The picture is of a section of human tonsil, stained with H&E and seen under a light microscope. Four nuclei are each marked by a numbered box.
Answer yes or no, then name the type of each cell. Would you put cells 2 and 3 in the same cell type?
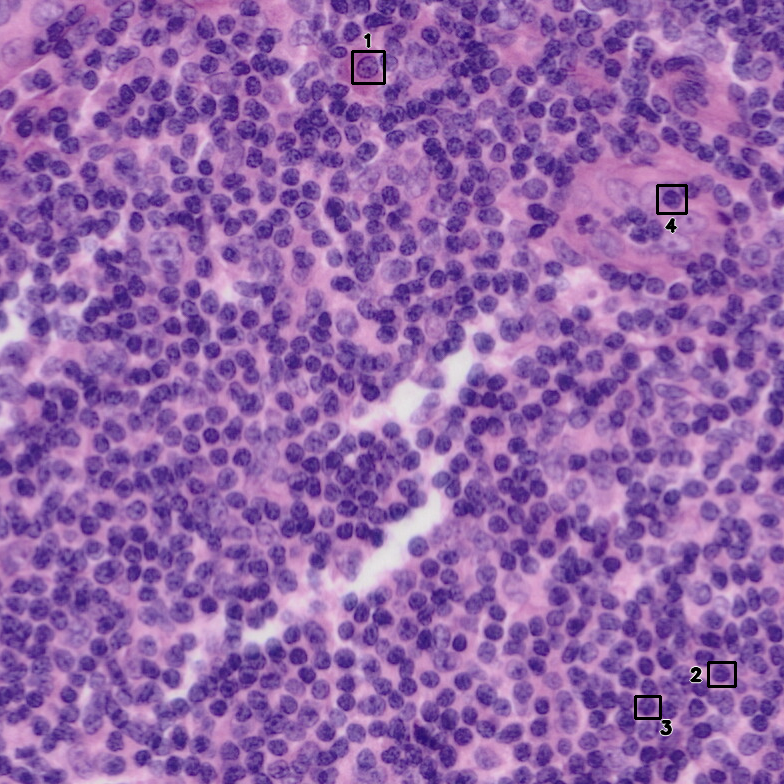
Yes, both are small lymphocytes.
